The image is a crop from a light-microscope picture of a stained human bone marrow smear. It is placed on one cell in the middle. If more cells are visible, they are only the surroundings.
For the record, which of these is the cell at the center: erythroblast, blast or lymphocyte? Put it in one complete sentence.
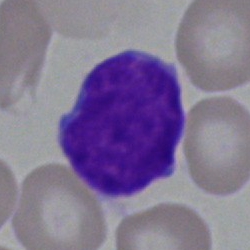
On this slide crop, the central cell is a blast.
